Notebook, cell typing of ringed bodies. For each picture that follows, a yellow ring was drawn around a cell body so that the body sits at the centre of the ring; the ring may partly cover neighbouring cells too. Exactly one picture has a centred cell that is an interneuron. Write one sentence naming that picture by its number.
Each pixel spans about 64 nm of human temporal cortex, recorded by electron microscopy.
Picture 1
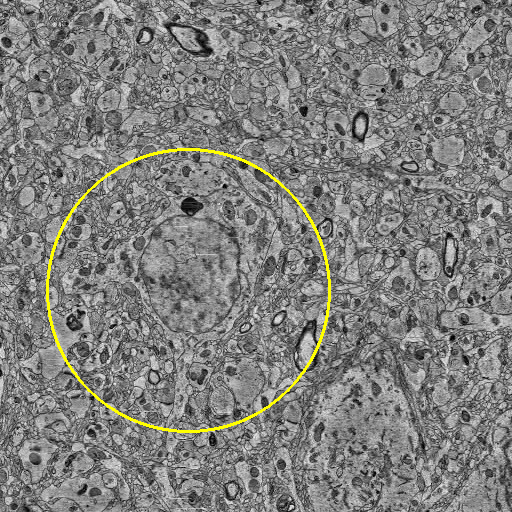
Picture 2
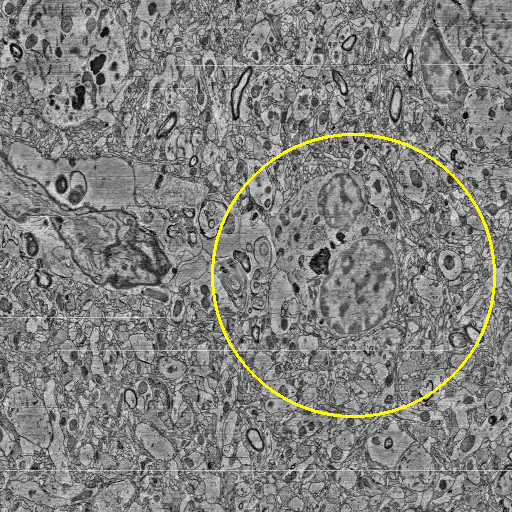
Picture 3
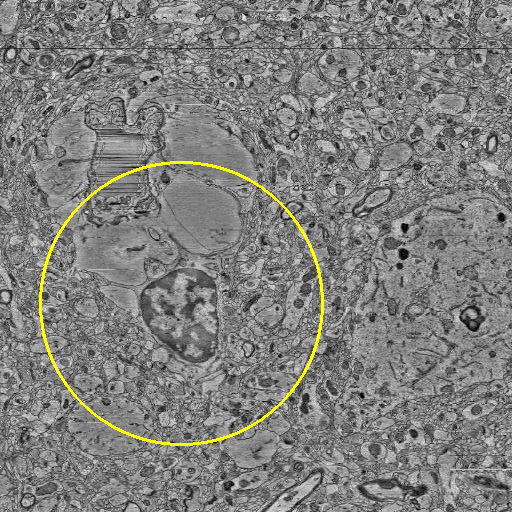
Picture 1 is the one with it at the centre of its ring.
